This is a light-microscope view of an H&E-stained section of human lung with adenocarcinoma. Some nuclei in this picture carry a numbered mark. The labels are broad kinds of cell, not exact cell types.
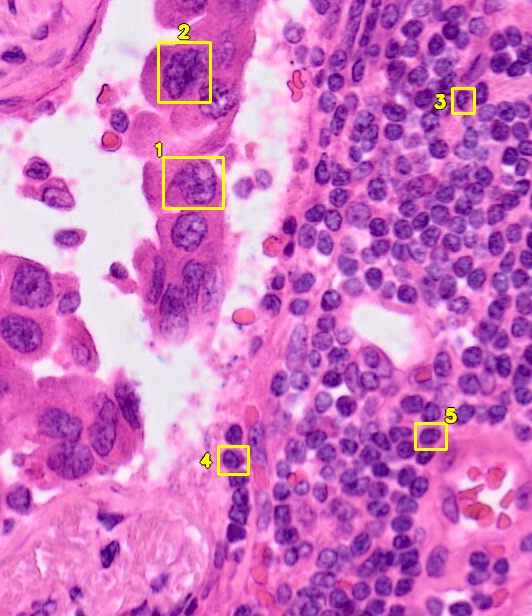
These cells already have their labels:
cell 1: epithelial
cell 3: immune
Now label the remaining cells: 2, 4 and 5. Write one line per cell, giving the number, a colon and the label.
2: epithelial
4: immune
5: immune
